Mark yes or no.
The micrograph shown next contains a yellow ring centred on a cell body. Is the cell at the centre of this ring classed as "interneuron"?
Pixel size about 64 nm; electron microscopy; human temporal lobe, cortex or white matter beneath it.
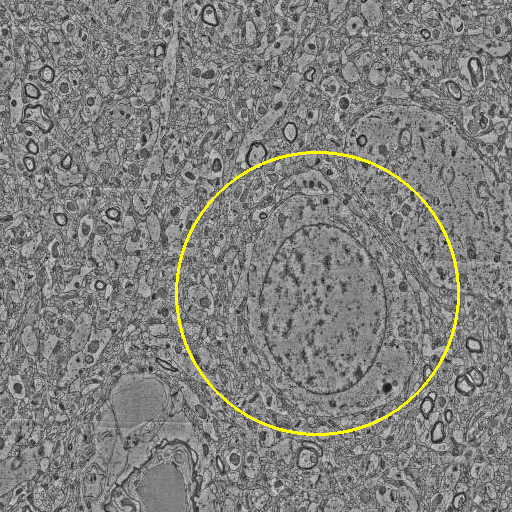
no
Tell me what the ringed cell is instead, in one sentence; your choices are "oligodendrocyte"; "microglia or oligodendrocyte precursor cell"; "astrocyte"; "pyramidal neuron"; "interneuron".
Instead, the cell at the centre of the yellow ring is a pyramidal neuron.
